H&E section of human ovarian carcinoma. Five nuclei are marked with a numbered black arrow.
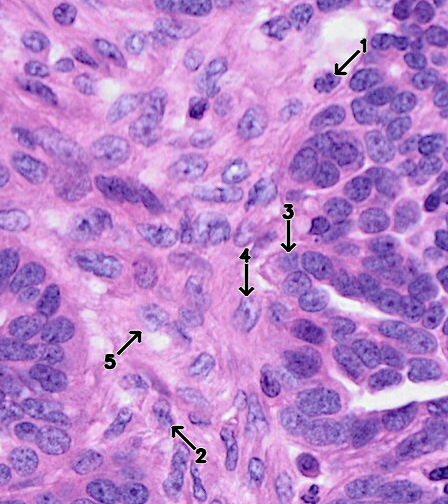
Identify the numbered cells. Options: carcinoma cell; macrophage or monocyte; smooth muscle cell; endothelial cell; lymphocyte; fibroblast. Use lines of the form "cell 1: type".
cell 1: macrophage or monocyte
cell 2: fibroblast
cell 3: carcinoma cell
cell 4: fibroblast
cell 5: fibroblast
